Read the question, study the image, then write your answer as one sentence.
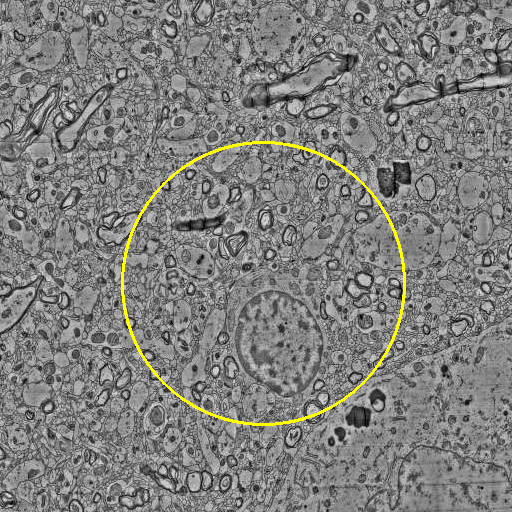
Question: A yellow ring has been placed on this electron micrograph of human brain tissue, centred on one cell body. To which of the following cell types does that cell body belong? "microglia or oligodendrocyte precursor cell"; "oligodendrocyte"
That cell body belongs to an oligodendrocyte.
